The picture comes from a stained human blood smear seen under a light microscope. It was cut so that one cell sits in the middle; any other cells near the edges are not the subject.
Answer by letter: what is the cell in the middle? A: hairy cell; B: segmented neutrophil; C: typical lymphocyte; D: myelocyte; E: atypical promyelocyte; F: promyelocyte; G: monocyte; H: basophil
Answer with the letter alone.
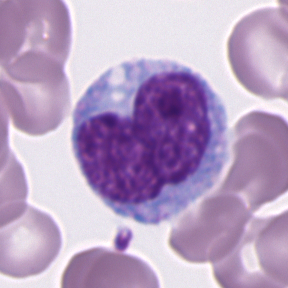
G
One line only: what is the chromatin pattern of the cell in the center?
Answer: the chromatin is fine and has no coarse clumps.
